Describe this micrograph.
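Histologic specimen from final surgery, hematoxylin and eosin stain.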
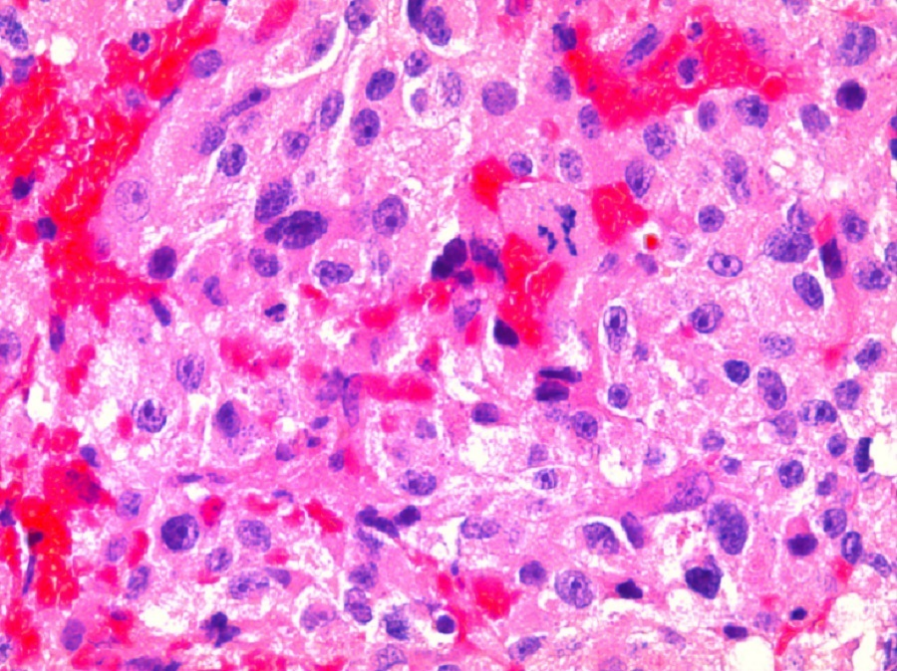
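This is a sheet of tightly packed cells with abundant pink, finely granular to vacuolated cytoplasm and indistinct cell borders. Their nuclei are strikingly unequal: many are oval with fine chromatin and small nucleoli, while others are enlarged, dark and irregular in outline. Near the centre, a cell with clumped, dark, irregular chromatin fits a mitotic figure. Pools of bright red blood cells lie scattered between the cells, most densely at the upper left and upper right.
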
